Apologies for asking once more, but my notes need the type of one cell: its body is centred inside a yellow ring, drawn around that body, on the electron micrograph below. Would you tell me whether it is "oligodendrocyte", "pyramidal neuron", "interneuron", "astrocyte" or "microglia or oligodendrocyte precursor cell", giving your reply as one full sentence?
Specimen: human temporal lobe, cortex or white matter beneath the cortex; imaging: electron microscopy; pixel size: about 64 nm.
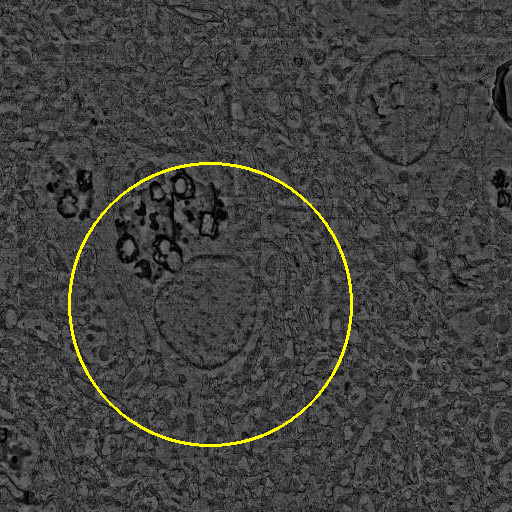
The cell that the yellow ring is centred on is an astrocyte in this micrograph.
